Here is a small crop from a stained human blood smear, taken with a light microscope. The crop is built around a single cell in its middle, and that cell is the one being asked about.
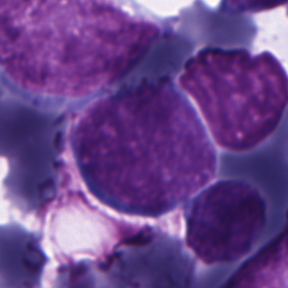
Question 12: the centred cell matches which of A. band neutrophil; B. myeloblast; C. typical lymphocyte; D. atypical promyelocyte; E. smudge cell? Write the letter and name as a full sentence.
As the central cell is a myeloblast, option B is correct.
